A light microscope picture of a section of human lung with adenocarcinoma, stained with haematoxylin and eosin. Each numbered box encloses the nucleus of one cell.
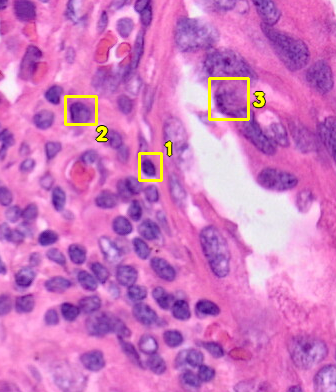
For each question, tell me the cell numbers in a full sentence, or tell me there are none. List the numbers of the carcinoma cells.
Only one choice fits: cell 3 is a carcinoma cell, and no other.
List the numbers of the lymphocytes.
Of all the numbered cells, only one is a lymphocyte, and that is cell 1.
